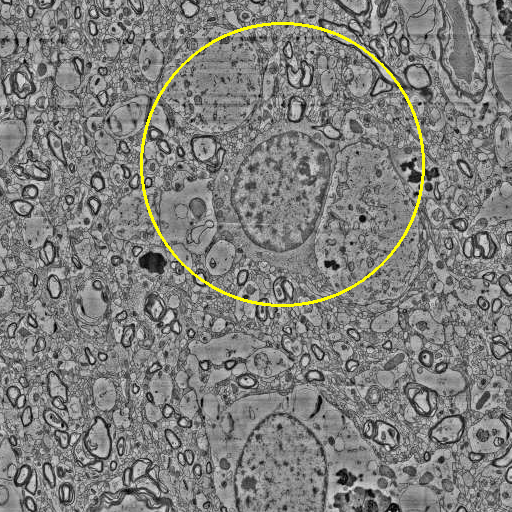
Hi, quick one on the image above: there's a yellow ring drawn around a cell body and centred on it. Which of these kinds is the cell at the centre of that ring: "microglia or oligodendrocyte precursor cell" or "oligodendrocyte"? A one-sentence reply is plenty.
The cell at the centre of the ring is an oligodendrocyte.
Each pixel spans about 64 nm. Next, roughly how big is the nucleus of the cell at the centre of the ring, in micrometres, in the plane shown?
In this plane, the nucleus of the cell at the centre of the ring measures about 8 by 6 micrometres.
